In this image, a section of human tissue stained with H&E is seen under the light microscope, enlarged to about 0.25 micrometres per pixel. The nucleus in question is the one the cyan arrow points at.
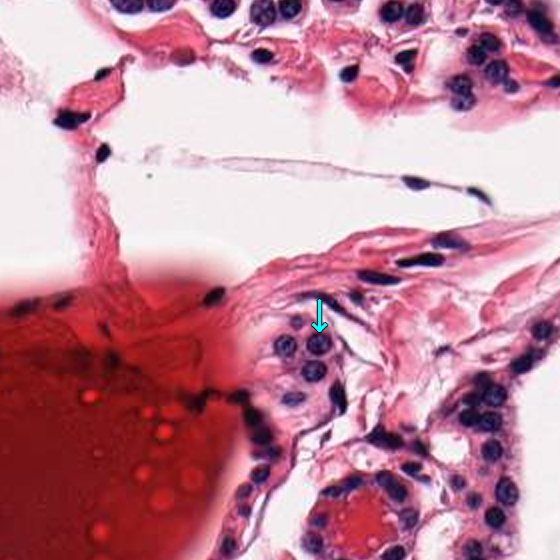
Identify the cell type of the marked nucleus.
thyroid follicular cell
